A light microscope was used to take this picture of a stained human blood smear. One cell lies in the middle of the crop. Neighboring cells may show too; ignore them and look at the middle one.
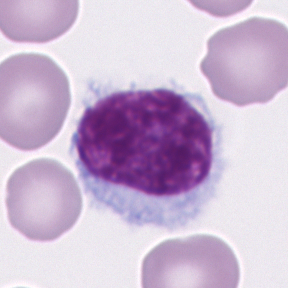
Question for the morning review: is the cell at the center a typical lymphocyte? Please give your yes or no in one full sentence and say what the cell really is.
No, the central cell is not to be called a typical lymphocyte, being a hairy cell.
